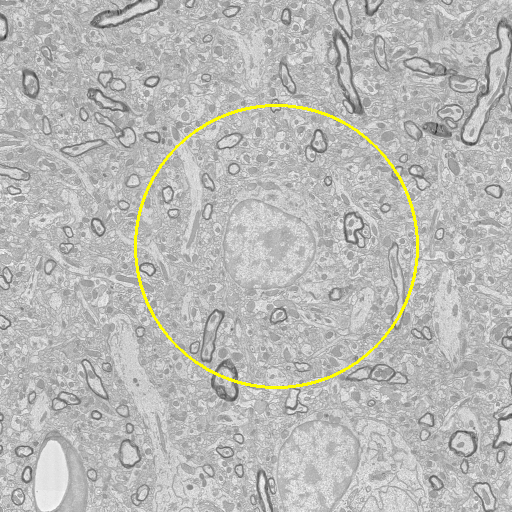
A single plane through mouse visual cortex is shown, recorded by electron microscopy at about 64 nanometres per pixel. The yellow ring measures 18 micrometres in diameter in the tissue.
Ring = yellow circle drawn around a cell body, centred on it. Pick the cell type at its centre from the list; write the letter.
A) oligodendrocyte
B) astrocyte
A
